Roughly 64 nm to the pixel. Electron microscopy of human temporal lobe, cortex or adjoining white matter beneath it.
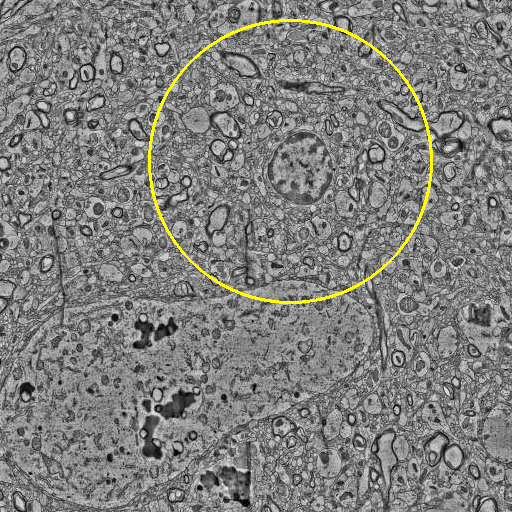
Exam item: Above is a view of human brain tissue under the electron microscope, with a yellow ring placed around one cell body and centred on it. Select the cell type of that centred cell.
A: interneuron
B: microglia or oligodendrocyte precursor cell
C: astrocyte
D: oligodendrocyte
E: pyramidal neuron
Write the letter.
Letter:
B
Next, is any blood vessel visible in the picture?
No.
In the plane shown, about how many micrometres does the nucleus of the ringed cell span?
In this plane, the nucleus measures approximately 4 micrometres across.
